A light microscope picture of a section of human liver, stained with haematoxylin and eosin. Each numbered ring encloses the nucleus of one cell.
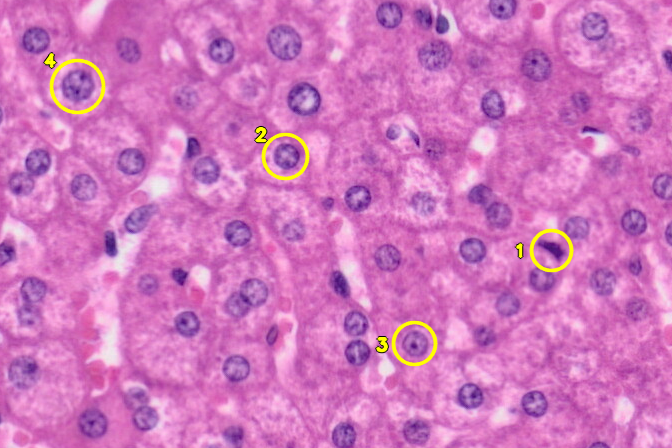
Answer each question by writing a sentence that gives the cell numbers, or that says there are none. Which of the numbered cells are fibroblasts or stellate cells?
The cell marked by number 1 is a fibroblast or stellate cell; the other marked cells are not.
